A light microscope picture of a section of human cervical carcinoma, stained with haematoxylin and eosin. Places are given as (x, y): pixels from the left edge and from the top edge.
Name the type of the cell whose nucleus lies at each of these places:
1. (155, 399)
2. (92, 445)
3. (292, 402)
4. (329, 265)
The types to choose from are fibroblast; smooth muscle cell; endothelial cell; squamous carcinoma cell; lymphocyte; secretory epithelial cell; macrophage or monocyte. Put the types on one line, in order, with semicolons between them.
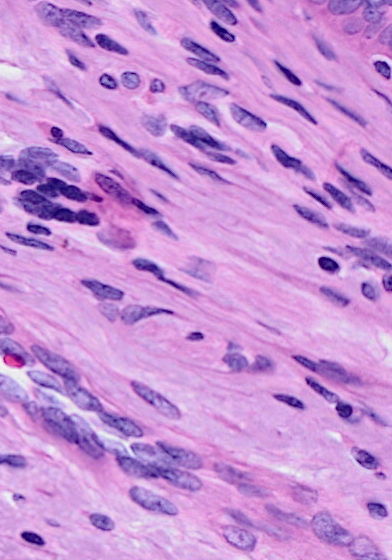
smooth muscle cell; endothelial cell; fibroblast; lymphocyte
